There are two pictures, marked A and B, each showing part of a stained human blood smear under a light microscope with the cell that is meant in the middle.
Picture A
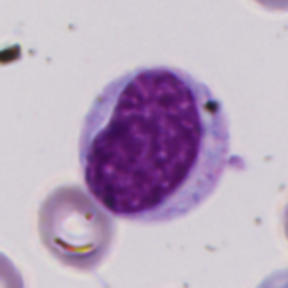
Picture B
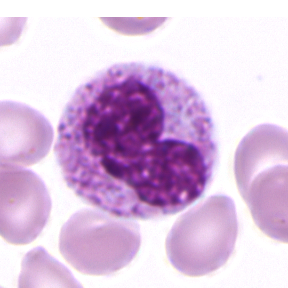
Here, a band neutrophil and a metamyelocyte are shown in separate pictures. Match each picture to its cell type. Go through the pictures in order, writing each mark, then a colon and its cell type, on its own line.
A: metamyelocyte
B: band neutrophil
